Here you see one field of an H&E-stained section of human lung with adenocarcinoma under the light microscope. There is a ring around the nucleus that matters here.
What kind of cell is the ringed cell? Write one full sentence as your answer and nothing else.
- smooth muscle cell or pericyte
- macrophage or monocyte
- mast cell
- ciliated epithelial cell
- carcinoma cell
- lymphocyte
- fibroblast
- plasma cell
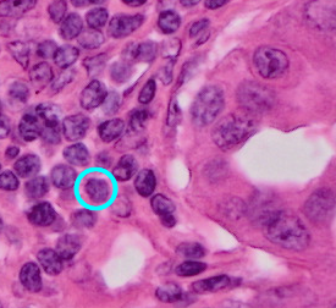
Within this tissue, the ringed cell is a lymphocyte.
